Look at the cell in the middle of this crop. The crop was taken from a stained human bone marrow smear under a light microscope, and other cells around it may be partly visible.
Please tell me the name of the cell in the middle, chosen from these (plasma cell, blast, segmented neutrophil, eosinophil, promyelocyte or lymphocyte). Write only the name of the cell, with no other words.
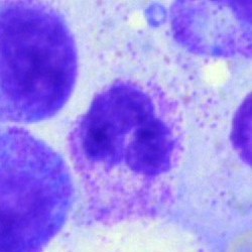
segmented neutrophil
